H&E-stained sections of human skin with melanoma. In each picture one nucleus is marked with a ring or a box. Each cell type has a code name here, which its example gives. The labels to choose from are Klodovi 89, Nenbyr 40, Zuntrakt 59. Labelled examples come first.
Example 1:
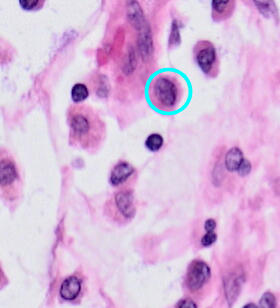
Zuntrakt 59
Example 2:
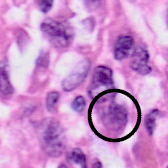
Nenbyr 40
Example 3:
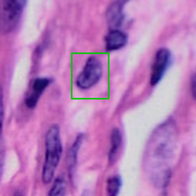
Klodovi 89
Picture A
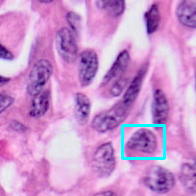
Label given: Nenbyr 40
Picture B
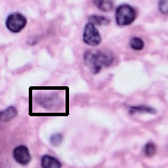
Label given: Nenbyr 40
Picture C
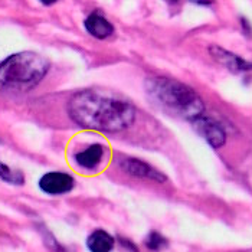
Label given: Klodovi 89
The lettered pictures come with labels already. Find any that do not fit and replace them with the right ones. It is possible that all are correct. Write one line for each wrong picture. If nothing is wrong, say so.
B: not Nenbyr 40 but Zuntrakt 59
